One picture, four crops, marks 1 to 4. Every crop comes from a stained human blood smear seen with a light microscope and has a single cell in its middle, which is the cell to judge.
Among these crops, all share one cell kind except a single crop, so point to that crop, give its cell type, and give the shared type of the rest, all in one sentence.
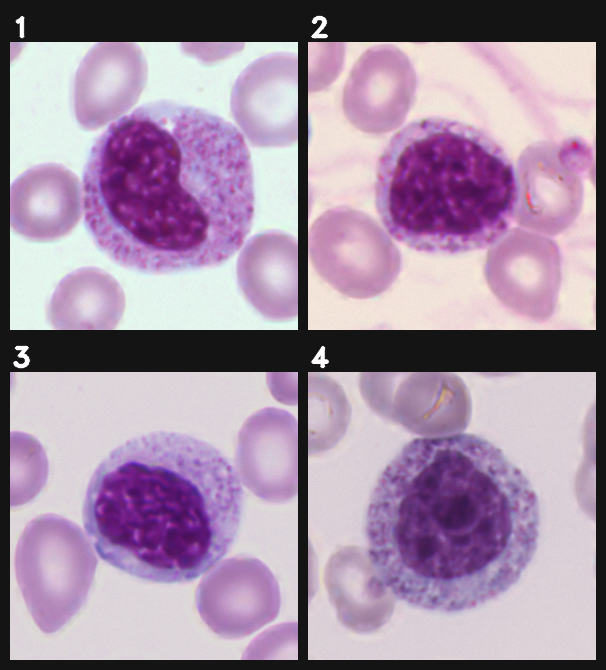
Among the crops, crop 4 is unique in showing a myelocyte; the others show metamyelocytes.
